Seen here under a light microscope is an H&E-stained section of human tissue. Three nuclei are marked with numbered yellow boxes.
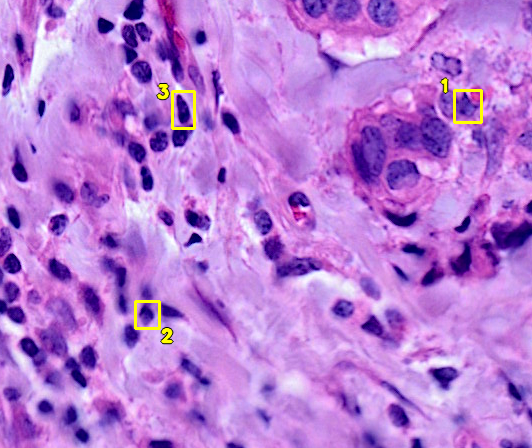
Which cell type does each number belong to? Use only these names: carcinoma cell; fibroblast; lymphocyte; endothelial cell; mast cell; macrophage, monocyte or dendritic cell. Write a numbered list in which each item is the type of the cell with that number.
1. endothelial cell
2. lymphocyte
3. lymphocyte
